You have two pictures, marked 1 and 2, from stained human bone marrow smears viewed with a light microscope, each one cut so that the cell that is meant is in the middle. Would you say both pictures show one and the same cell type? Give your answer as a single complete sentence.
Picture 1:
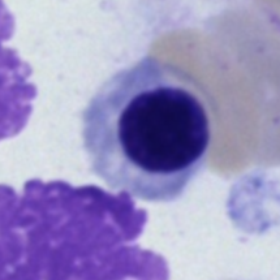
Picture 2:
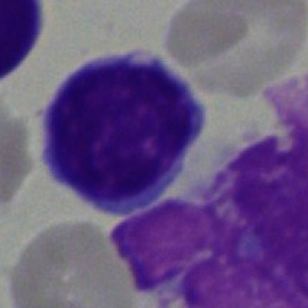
No, picture 1 shows an erythroblast and picture 2 shows a lymphocyte.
